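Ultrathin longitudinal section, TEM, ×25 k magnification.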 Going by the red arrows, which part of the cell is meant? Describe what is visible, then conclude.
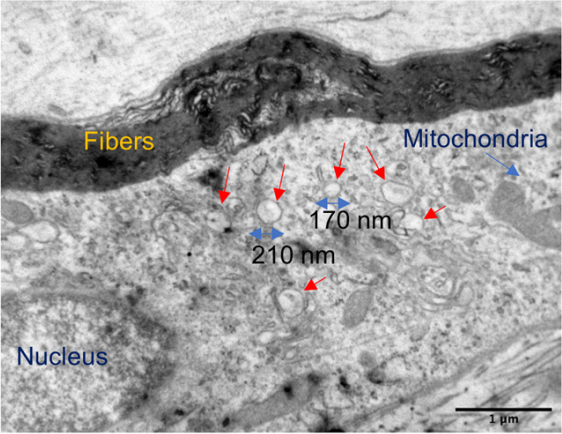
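The red arrows point to small round pale profiles bounded by a membrane. These profiles lie in cytoplasm below the dark fiber band. They are of similar size, about a fifth of the scale bar across. The answer: vesicles.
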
